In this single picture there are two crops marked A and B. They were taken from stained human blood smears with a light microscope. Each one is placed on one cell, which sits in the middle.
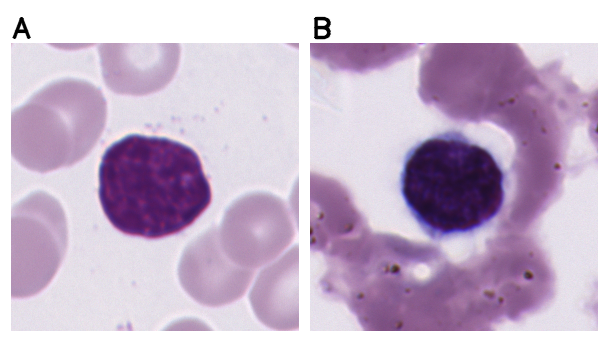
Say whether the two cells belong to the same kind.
no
